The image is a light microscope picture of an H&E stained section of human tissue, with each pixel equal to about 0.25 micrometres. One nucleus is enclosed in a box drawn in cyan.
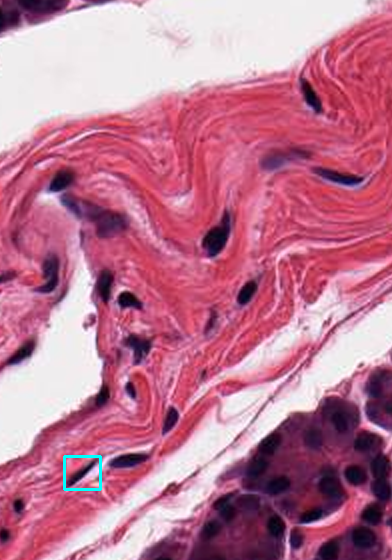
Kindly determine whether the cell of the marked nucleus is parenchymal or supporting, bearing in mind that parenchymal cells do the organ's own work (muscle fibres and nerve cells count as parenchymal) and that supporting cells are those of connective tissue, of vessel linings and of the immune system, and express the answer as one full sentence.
The marked nucleus is designated as the nucleus of a supporting cell.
